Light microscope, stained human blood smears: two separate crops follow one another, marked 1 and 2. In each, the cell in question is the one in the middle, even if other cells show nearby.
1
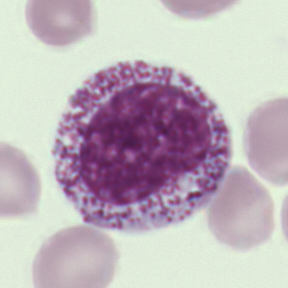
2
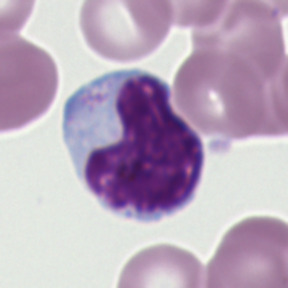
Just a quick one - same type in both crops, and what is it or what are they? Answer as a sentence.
No, enter a myelocyte for crop 1 and a large granular lymphocyte for crop 2.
